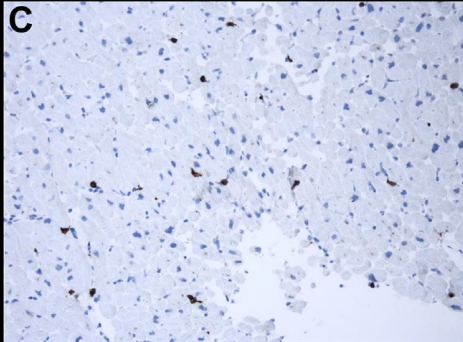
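The fibers are cut mostly across, forming a packed mosaic of pale polygons. A small number of small brown-stained cells lie scattered singly between the fibers in the interstitium. These brown cells are few and do not gather into clusters. A large clear empty space lies at the lower right of the field.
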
